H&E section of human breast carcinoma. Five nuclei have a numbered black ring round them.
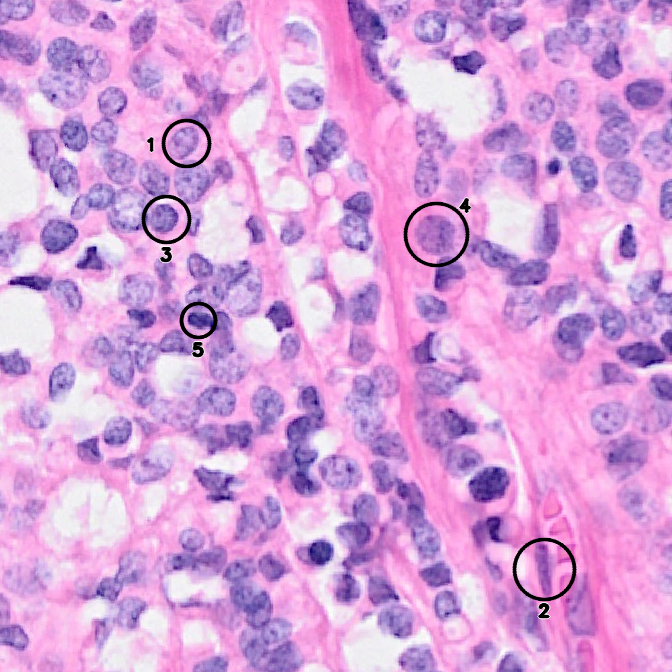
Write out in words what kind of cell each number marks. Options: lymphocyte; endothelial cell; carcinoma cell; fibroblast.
Cells 1, 3 and 4 are carcinoma cells. Cell 2 is an endothelial cell. Cell 5 is a lymphocyte.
